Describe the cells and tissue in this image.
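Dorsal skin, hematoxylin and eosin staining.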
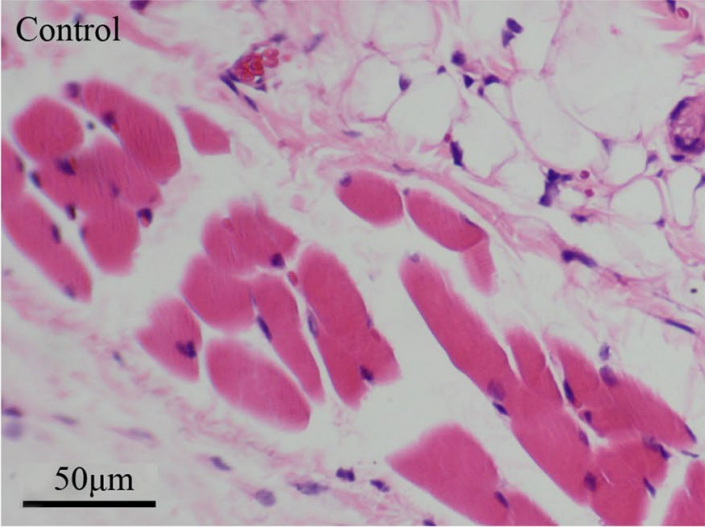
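The muscle fibres are intensely eosinophilic, deep pink and homogeneous, and have rounded to elongated profiles. Their small, dark purple nuclei lie flattened at the periphery of the fibres. The fibres are grouped into small bundles separated by pale, loose connective tissue that contains scattered spindle-shaped nuclei. In the upper right, adipocytes appear as large empty polygonal spaces with thin membranes, and small vessels containing red blood cells lie nearby.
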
